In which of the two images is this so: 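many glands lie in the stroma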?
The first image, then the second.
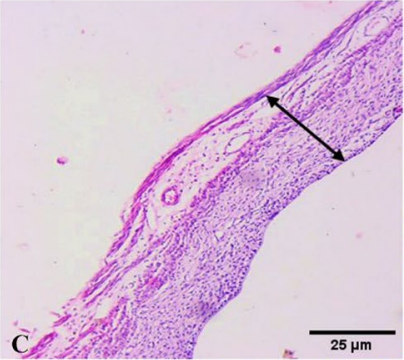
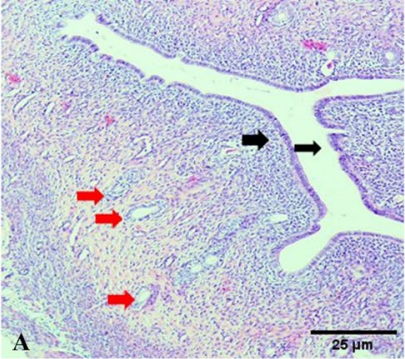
the second image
